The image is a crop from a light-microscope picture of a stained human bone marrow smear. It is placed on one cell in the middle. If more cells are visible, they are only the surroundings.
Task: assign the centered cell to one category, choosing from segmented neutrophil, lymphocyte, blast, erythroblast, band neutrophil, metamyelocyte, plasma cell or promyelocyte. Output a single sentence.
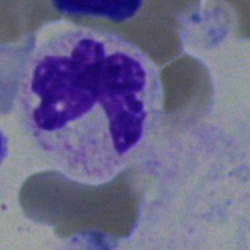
The cell of interest, located centrally, is a segmented neutrophil.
